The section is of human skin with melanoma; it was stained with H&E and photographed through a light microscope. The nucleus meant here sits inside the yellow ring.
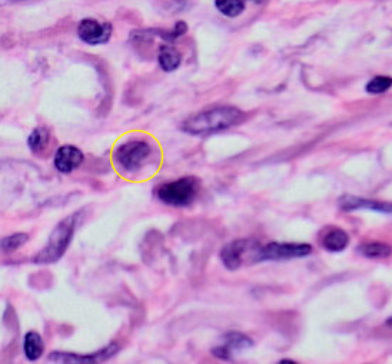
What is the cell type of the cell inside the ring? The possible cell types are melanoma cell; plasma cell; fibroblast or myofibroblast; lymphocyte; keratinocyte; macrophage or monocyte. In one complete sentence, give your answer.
Cell type answer for this item: the cell inside the ring is a macrophage or monocyte.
